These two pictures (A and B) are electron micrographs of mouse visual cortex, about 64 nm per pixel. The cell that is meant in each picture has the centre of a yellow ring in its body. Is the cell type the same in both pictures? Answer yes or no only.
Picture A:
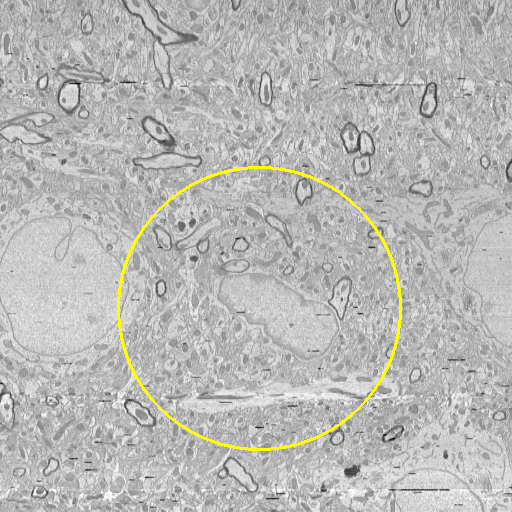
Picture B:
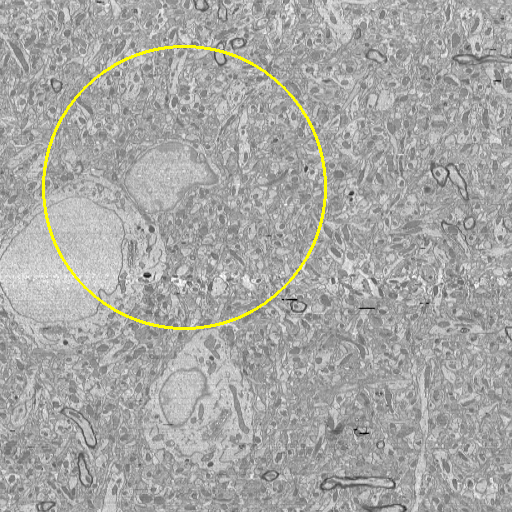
yes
